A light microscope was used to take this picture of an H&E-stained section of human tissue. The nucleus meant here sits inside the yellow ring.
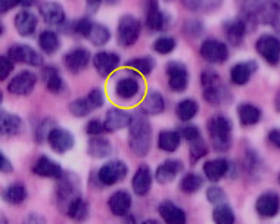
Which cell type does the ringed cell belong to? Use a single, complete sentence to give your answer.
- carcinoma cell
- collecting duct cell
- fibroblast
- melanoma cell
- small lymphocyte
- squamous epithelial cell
In the tissue at hand, the ringed cell is a small lymphocyte.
